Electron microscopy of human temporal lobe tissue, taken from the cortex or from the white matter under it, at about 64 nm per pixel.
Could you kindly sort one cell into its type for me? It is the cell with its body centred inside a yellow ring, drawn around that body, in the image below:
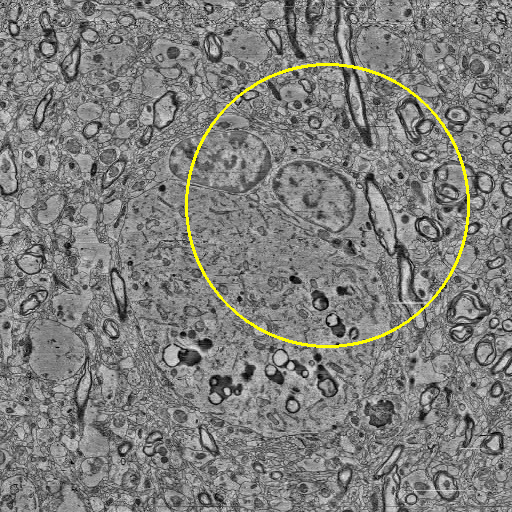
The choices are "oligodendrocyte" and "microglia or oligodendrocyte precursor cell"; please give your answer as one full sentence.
The cell whose body lies centred in the yellow ring here is a microglial cell or oligodendrocyte precursor cell.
